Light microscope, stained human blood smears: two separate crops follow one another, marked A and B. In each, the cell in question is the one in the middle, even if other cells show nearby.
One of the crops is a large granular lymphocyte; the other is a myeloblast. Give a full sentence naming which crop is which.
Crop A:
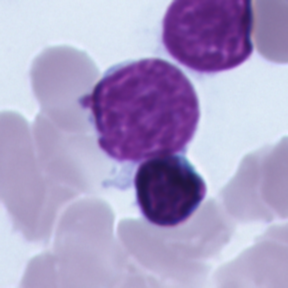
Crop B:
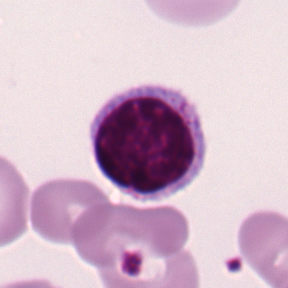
Here crop A is a myeloblast, and crop B is a large granular lymphocyte.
